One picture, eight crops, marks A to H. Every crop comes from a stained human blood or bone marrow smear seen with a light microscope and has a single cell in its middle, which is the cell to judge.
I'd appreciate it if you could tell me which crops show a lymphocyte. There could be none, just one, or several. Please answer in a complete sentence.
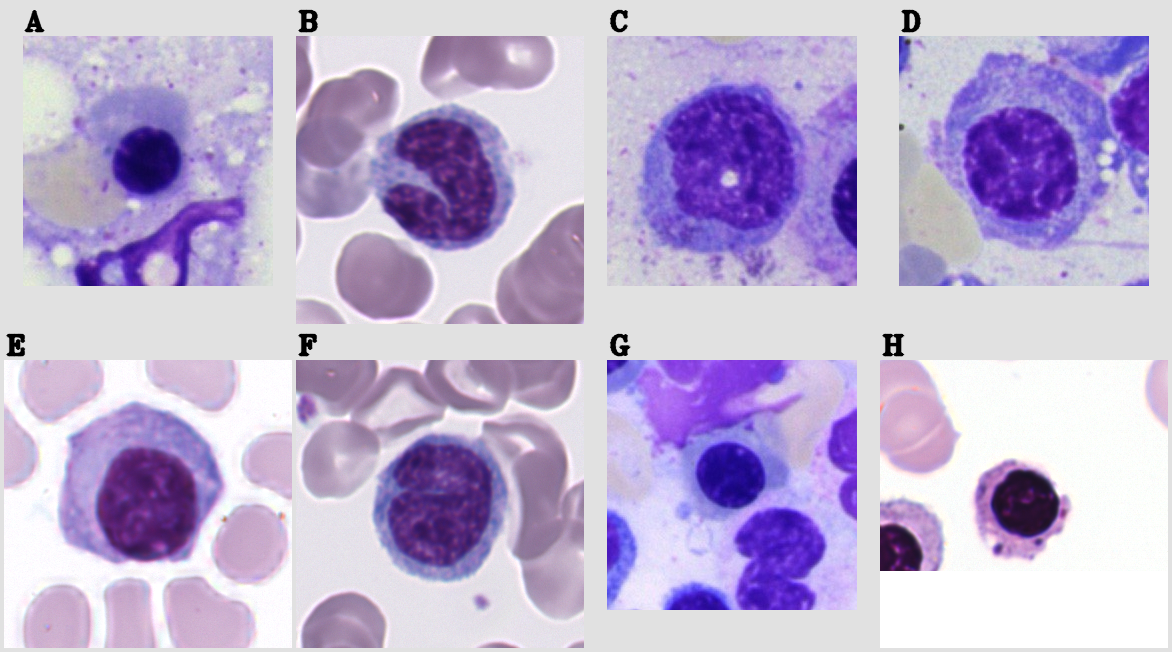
It is not the case that any crop shows a lymphocyte.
